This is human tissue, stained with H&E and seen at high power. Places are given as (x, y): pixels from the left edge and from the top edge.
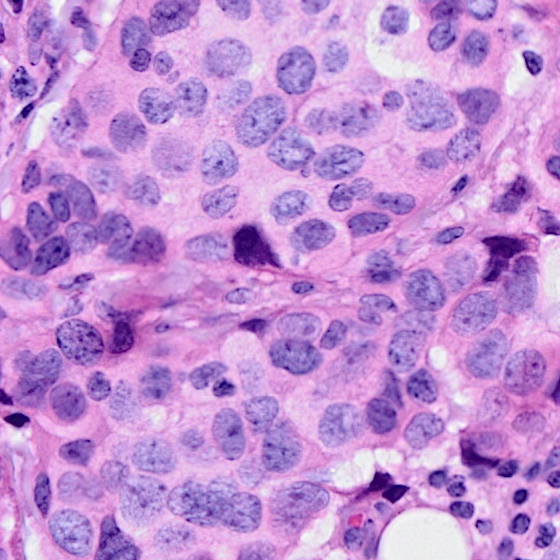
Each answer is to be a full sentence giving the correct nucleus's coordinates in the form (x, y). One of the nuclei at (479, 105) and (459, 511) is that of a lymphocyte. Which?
That would be the nucleus at (459, 511); it belongs to a lymphocyte.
